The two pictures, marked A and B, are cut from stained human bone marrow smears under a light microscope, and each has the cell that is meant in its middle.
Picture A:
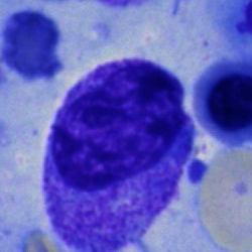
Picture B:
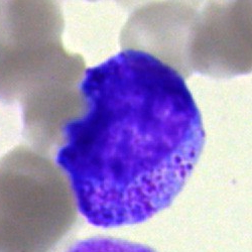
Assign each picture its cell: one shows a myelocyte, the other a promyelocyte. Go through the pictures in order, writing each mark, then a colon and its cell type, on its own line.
A: myelocyte
B: promyelocyte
